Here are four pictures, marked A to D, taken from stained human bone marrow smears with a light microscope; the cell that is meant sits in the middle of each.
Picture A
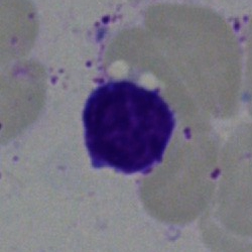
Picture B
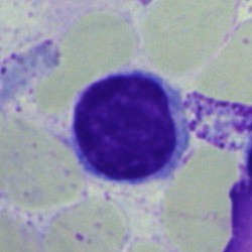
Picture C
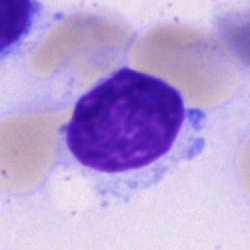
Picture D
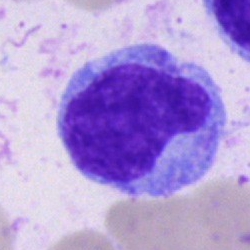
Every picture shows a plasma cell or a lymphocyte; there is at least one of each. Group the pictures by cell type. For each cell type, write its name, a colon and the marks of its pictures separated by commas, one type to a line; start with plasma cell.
plasma cell: D
lymphocyte: A, B, C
